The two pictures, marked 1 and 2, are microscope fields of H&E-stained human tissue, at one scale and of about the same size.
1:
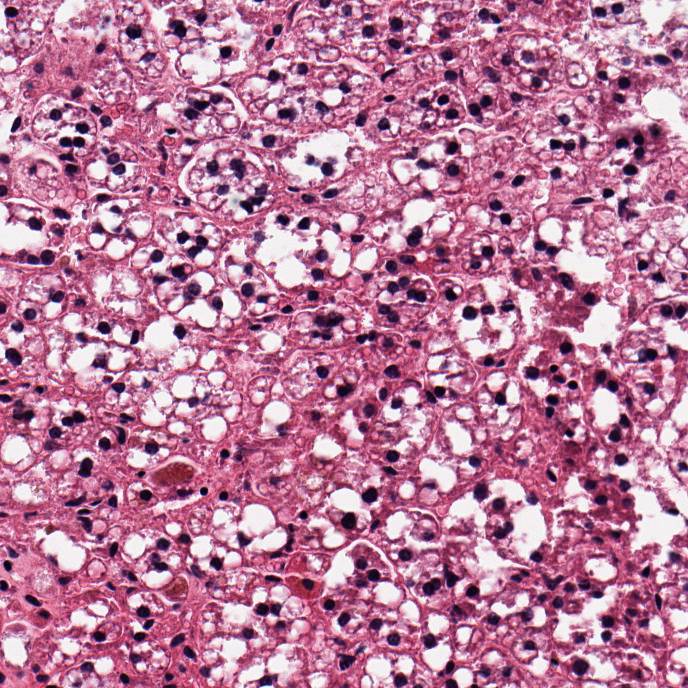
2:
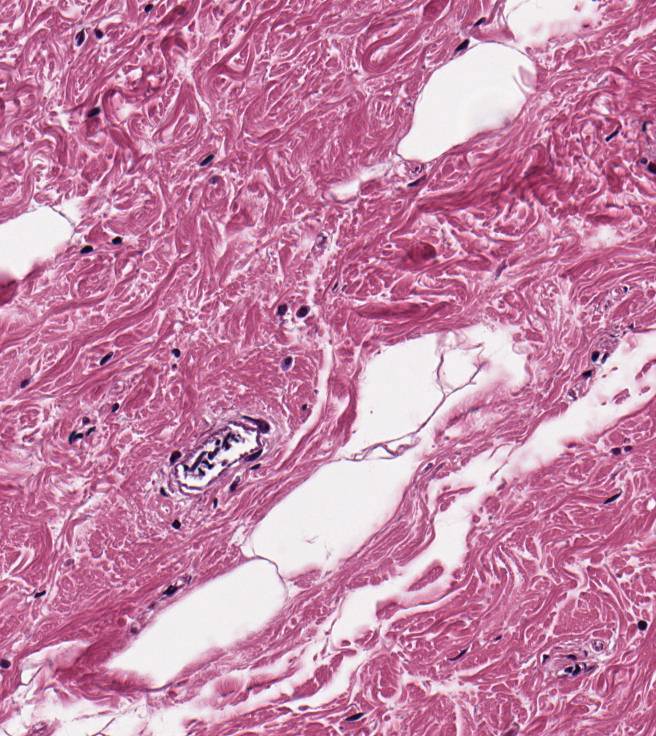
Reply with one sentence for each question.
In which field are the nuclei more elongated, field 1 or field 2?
It is field 2 whose nuclei are the more elongated.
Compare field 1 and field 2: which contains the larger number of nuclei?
Field 1 holds more nuclei than field 2.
